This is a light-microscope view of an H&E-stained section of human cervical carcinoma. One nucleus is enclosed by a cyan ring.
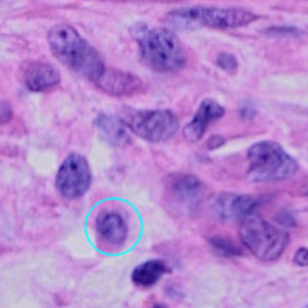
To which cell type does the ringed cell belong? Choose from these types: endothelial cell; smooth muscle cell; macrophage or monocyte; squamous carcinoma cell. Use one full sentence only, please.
It is a macrophage or monocyte that the ringed cell represents.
